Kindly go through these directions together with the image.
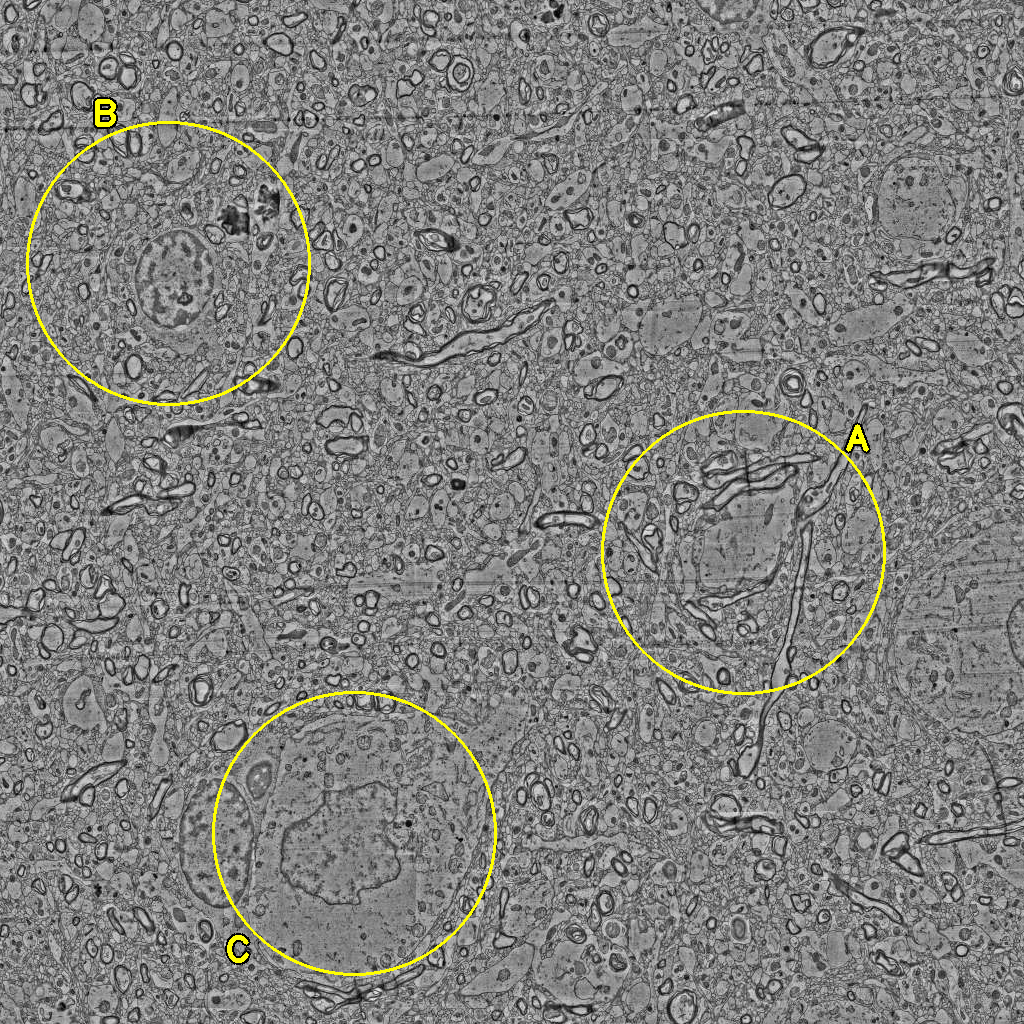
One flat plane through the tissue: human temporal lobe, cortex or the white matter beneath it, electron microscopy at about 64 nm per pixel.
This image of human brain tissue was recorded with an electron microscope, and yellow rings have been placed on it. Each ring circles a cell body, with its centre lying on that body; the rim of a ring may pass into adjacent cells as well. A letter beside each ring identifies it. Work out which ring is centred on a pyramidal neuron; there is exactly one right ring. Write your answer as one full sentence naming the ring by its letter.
Ring C is the one whose centre lies on a cell of that kind.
